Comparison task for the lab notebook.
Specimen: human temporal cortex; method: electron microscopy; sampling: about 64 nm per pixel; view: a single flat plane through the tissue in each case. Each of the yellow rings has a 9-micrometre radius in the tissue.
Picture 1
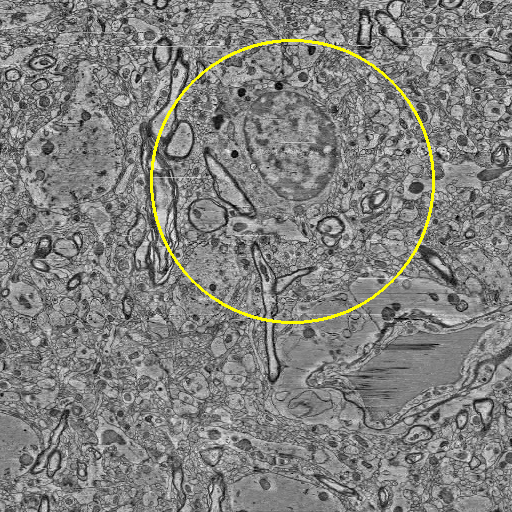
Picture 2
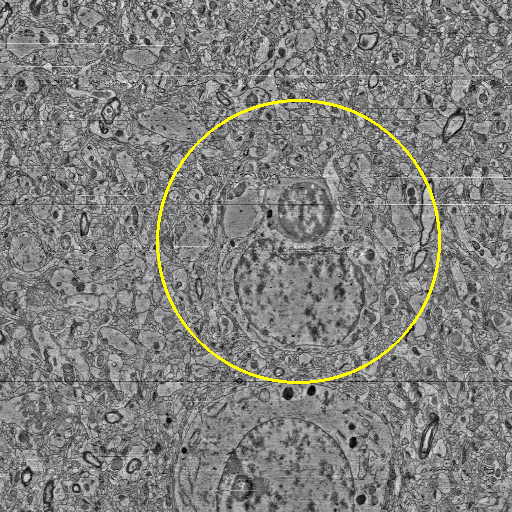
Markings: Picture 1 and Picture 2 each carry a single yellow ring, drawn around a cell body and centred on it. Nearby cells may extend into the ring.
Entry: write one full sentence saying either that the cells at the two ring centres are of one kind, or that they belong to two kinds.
The cells sitting at the ring centres in Picture 1 and Picture 2 are of one kind.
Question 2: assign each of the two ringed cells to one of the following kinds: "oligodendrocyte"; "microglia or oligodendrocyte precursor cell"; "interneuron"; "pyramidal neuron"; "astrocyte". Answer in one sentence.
The ring centre holds an oligodendrocyte in each of the two pictures.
